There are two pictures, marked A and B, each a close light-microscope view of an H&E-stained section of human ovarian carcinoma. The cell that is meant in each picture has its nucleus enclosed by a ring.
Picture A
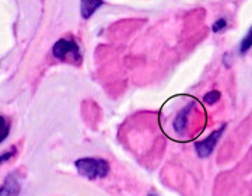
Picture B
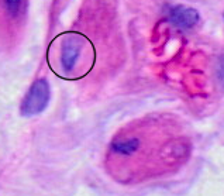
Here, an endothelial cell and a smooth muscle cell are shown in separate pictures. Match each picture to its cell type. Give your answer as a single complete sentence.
Picture B shows a smooth muscle cell, while picture A shows an endothelial cell.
